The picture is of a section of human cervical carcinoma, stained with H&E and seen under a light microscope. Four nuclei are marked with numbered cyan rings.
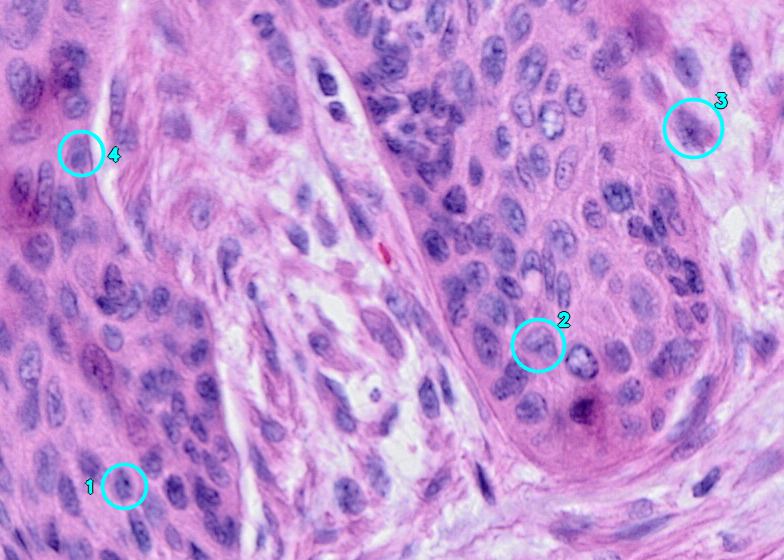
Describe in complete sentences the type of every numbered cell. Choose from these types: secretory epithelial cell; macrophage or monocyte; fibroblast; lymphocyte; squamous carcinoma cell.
Cells 1, 2 and 4 are squamous carcinoma cells. Cell 3 is a fibroblast.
